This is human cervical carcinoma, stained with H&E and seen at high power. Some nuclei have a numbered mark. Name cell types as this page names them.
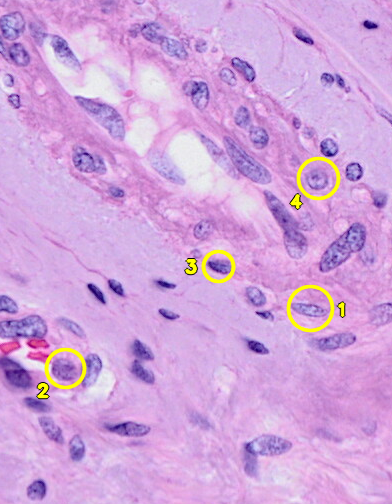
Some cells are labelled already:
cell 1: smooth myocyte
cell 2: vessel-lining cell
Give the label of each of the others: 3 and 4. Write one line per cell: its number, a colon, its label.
3: smooth myocyte
4: smooth myocyte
